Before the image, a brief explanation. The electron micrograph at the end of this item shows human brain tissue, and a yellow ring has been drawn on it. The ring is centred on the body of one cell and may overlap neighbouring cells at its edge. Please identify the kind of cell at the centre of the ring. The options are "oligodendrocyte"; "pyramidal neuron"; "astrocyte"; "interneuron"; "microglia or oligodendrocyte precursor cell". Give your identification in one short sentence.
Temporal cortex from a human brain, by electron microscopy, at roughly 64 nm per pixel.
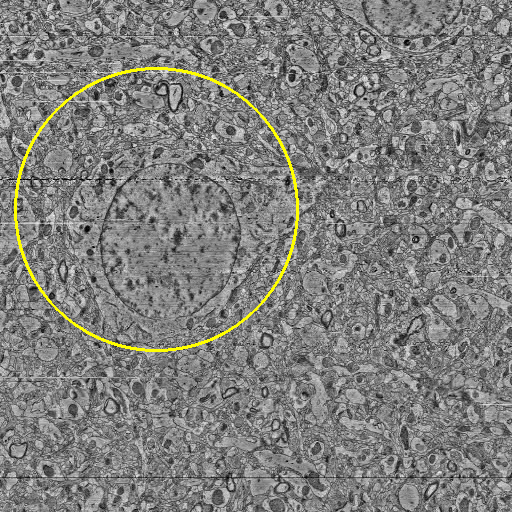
The ring has been placed around a pyramidal neuron.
